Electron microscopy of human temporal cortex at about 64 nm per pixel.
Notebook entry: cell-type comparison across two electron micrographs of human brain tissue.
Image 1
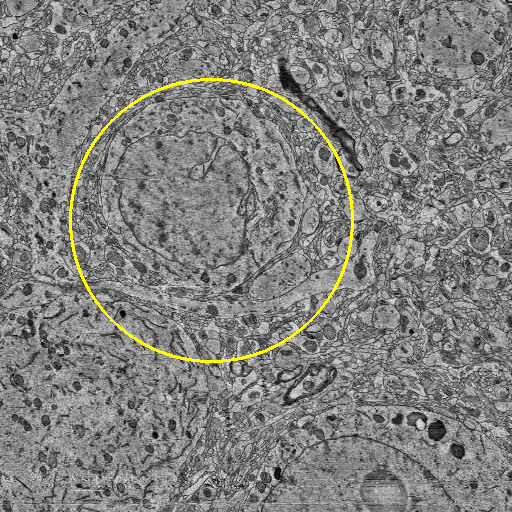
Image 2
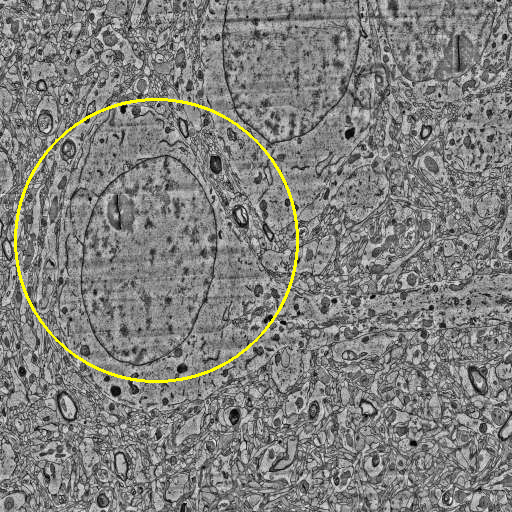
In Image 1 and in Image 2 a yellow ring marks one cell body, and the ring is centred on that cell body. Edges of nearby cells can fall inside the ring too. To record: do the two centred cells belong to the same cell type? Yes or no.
no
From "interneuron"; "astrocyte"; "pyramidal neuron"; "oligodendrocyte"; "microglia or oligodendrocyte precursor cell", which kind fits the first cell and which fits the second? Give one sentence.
The cell marked in the first picture is an interneuron, and the one marked in the second is a pyramidal neuron.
